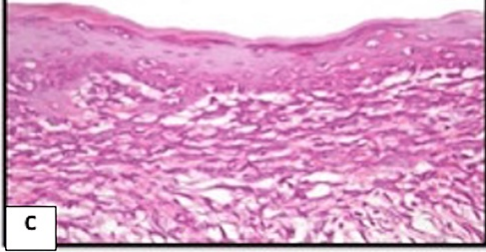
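The epithelium is a pink band with purple nuclei and a smooth, slightly wavy surface. Below it lies loose connective tissue made of pale pink, wavy fibres with scattered nuclei and many small clear spaces.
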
